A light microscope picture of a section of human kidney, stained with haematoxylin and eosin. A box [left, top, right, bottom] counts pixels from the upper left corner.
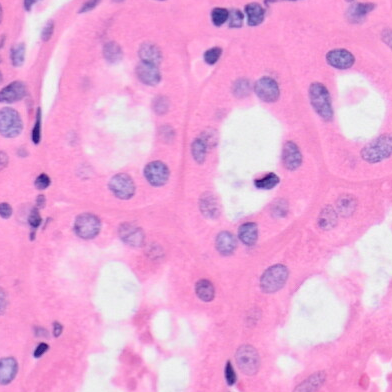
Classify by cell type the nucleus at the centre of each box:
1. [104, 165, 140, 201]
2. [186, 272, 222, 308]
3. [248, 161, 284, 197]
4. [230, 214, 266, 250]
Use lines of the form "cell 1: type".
cell 1: loop of Henle or distal tubule cell
cell 2: proximal tubule cell
cell 3: loop of Henle or distal tubule cell
cell 4: loop of Henle or distal tubule cell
